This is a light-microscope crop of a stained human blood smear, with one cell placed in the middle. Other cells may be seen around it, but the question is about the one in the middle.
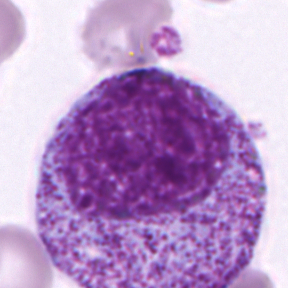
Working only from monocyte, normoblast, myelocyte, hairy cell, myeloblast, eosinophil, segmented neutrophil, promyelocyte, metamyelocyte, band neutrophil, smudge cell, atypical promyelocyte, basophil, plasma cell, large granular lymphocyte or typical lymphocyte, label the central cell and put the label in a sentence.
The middle of this crop holds a promyelocyte.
